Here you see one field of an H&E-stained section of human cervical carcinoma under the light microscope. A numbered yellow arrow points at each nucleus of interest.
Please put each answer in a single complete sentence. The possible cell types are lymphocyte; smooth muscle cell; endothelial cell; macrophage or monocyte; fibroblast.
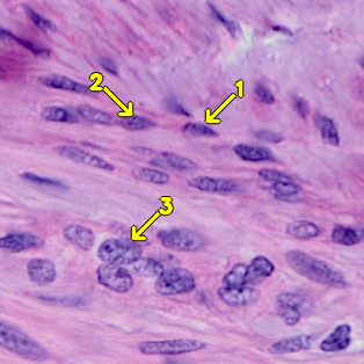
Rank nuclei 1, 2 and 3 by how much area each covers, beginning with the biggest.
Going from the biggest nucleus down to the smallest gives 3, 2, 1.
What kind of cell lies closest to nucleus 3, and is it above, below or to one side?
The closest nucleus belongs to an endothelial cell and sits below nucleus 3.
